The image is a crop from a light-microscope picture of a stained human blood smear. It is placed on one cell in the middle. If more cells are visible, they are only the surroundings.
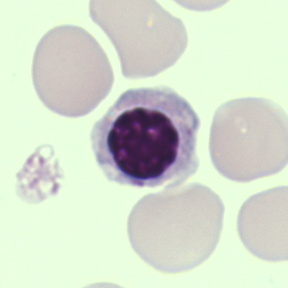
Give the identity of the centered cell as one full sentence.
On this slide crop, the central cell is a normoblast.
